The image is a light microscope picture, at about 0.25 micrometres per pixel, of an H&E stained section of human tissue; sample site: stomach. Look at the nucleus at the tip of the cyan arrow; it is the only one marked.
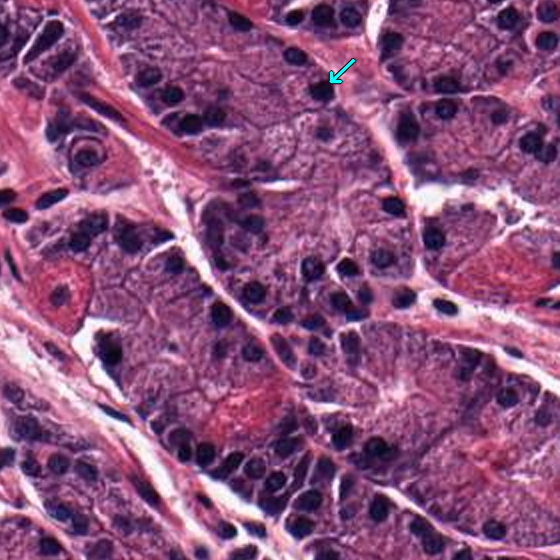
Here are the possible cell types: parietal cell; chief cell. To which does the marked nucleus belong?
chief cell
